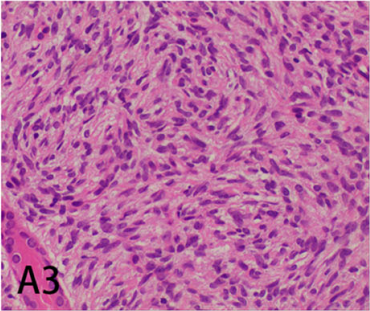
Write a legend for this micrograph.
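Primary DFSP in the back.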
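This is a highly cellular tumor made of slender spindle cells. The cells form short fascicles that curve and interweave in different directions, giving a whorled storiform pattern. A small strip of pink material is seen at the lower left corner.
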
